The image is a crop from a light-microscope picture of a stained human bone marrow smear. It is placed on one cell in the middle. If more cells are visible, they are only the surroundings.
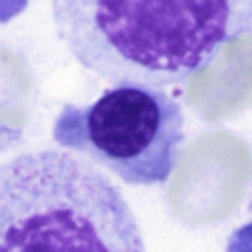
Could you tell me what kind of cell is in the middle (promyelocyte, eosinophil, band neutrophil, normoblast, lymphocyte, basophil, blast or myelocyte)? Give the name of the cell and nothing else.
normoblast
